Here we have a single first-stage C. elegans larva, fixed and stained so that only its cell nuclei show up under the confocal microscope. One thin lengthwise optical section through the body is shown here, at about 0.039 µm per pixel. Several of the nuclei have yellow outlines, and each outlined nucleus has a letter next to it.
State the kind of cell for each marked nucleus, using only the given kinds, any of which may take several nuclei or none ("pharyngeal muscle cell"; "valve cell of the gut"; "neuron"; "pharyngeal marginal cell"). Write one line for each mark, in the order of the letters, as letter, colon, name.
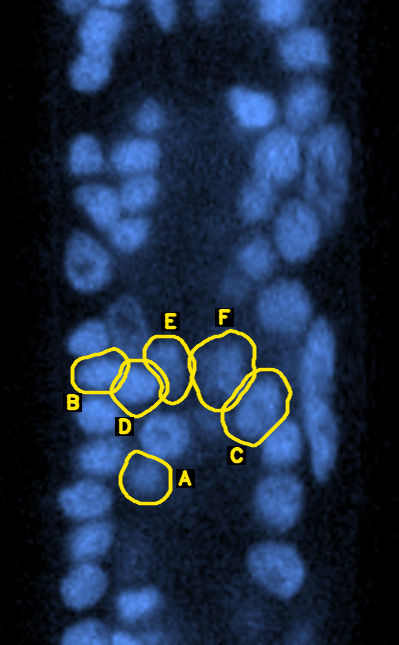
A: neuron
B: neuron
C: pharyngeal muscle cell
D: neuron
E: pharyngeal marginal cell
F: pharyngeal marginal cell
